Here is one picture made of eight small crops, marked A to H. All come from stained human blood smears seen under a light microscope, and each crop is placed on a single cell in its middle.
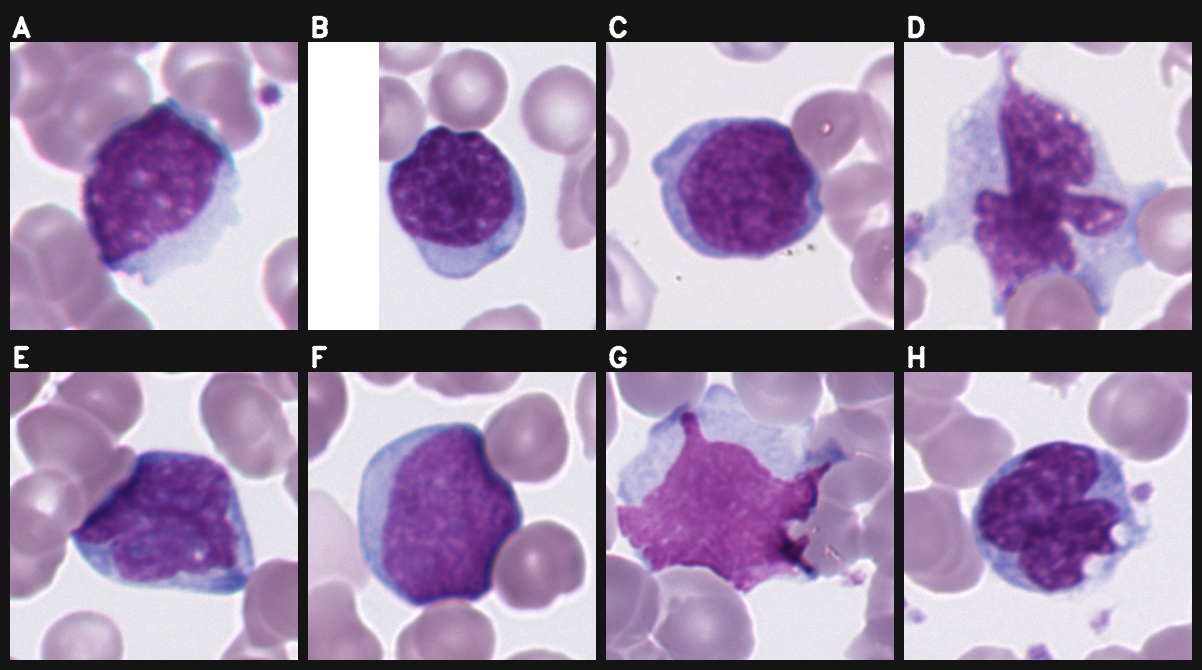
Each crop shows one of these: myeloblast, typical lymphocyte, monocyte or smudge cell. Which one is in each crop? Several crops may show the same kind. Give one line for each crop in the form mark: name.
A: monocyte
B: myeloblast
C: myeloblast
D: monocyte
E: myeloblast
F: myeloblast
G: monocyte
H: monocyte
